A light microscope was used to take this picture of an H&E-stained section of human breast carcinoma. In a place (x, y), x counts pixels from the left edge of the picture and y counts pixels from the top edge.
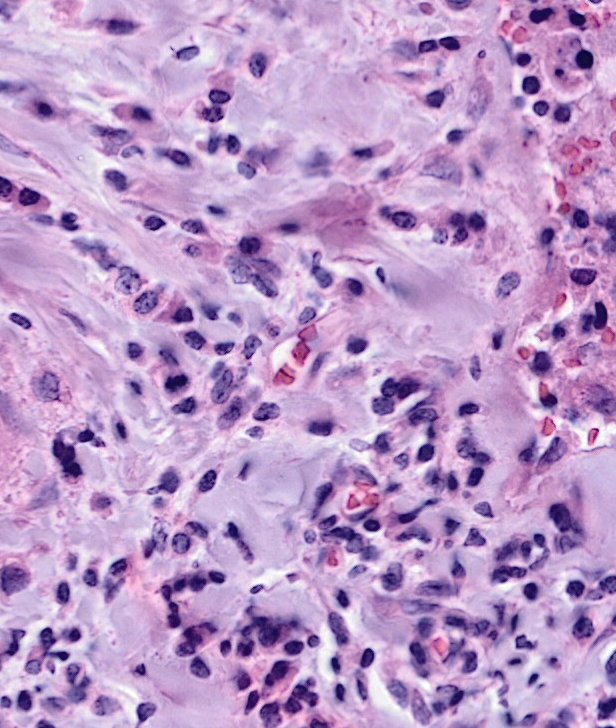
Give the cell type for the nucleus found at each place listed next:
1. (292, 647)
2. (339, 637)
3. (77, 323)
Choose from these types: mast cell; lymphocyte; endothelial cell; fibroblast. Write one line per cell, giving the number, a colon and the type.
1: lymphocyte
2: lymphocyte
3: fibroblast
